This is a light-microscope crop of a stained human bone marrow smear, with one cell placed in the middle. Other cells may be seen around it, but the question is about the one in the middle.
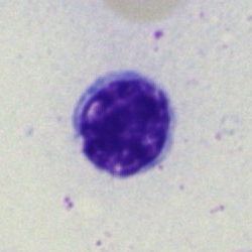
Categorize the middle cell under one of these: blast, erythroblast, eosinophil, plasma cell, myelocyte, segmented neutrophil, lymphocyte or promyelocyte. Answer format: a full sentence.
The central cell, amid any neighbouring cells, is a lymphocyte.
